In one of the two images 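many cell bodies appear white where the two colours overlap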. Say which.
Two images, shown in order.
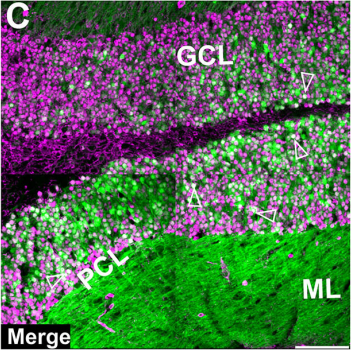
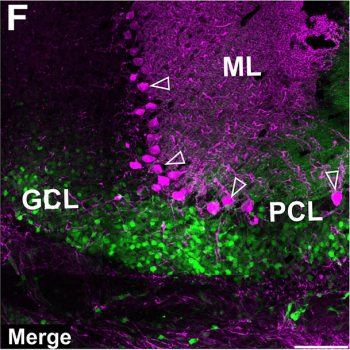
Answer: The first image.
